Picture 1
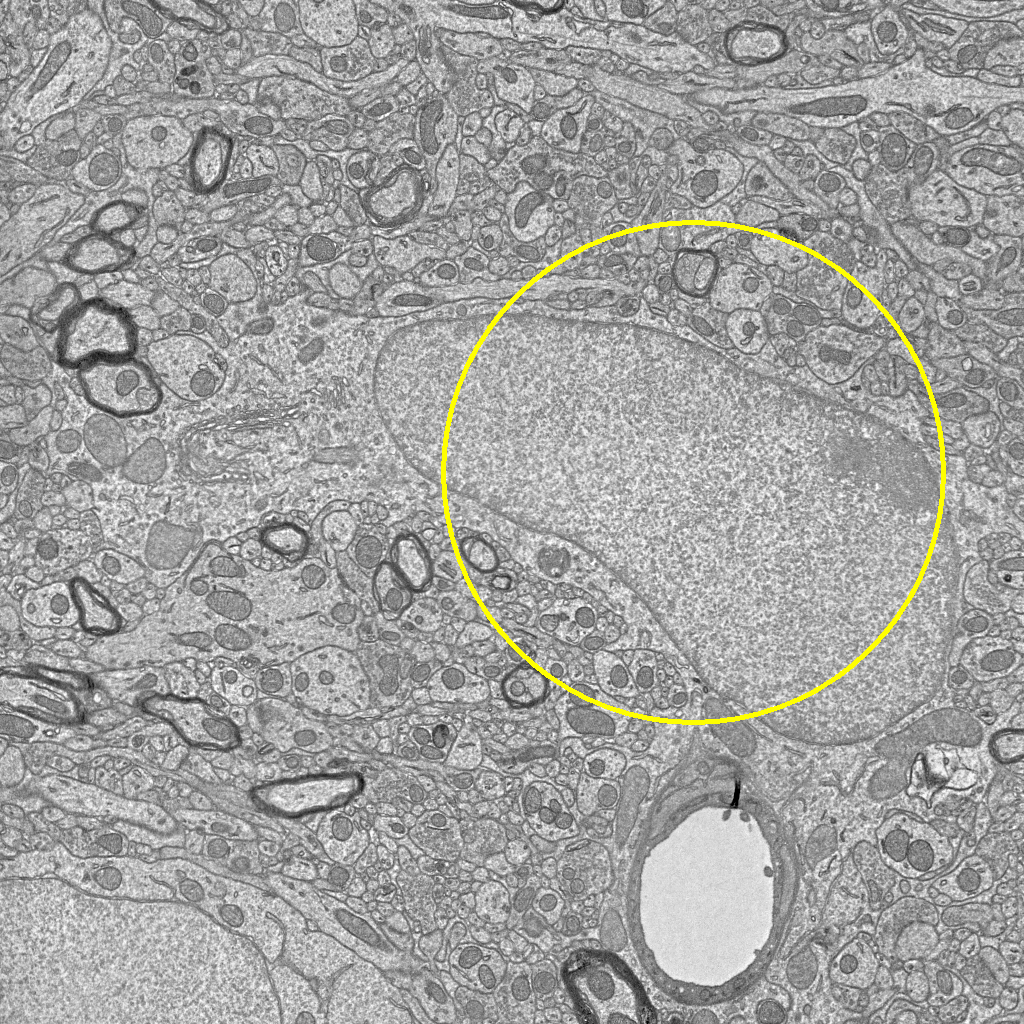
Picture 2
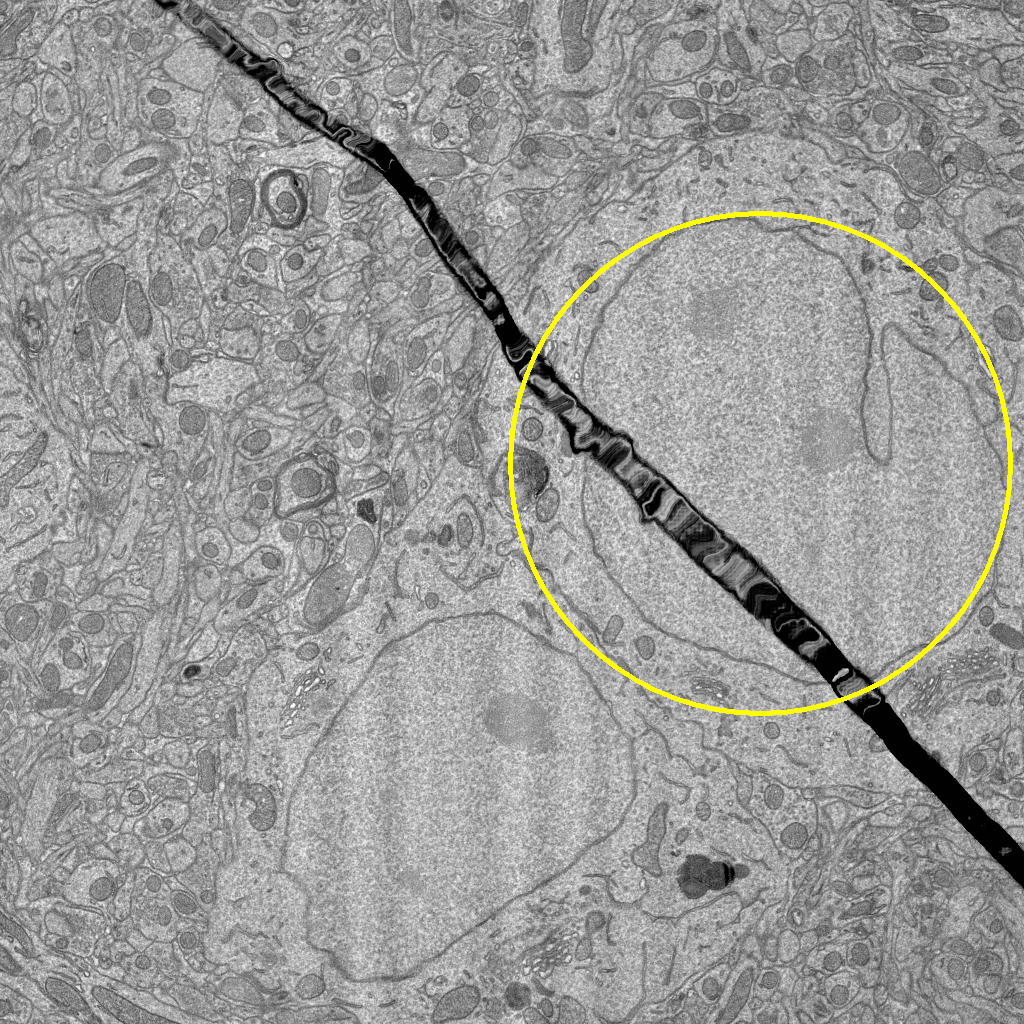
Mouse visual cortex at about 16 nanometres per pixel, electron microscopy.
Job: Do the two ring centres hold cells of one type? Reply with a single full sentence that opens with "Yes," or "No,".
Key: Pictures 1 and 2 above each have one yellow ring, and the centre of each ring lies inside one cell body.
No, the cells at the two ring centres are of two separate types.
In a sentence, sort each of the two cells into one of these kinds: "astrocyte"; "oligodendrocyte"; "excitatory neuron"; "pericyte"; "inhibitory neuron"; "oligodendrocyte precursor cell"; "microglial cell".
The first picture has an astrocyte at its ring centre, and the second has an excitatory neuron.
